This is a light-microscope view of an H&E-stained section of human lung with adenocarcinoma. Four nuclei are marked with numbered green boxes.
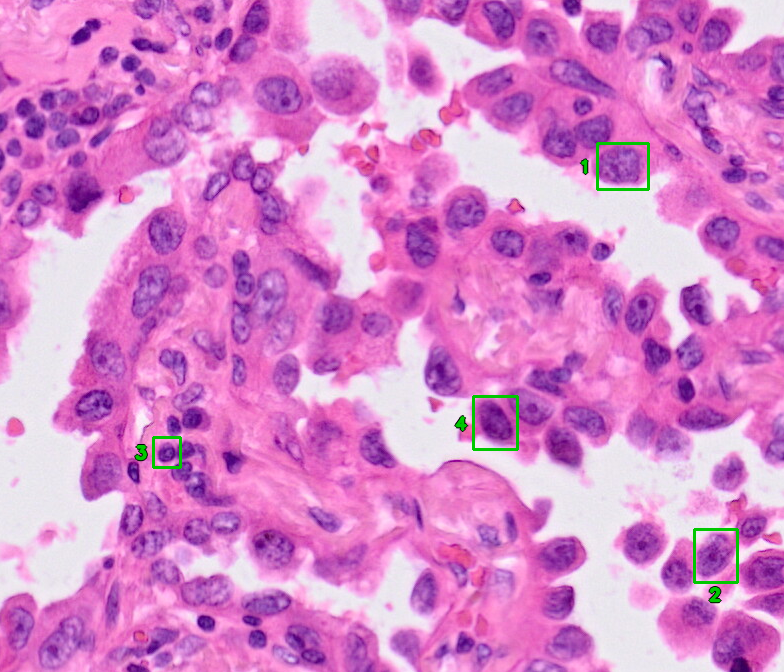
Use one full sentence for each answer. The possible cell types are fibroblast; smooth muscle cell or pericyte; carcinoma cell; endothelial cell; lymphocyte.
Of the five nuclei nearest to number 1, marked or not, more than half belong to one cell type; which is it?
Around number 1, most of the five nearest nuclei are those of carcinoma cells.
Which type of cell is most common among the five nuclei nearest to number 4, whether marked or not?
Carcinoma cells make up most of the five nuclei closest to number 4.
